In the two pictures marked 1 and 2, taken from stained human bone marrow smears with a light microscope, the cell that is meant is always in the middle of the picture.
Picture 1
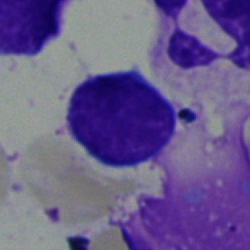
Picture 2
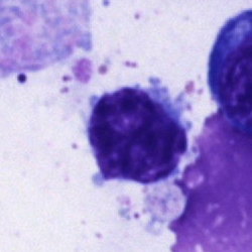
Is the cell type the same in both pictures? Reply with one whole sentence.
Yes, both cells are lymphocytes.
